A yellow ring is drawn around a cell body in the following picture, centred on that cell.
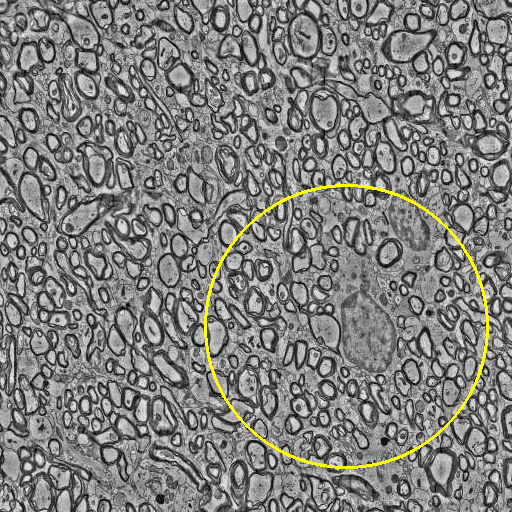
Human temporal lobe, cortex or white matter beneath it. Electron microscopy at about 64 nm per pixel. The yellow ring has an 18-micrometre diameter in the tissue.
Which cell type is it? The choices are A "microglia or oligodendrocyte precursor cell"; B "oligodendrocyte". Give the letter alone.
B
